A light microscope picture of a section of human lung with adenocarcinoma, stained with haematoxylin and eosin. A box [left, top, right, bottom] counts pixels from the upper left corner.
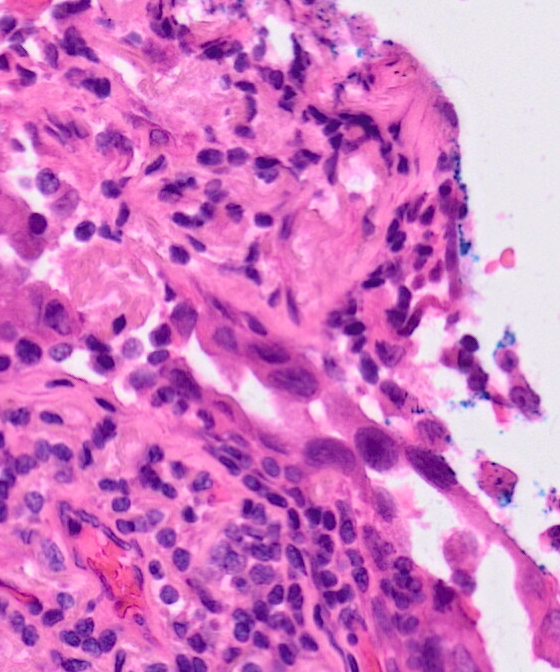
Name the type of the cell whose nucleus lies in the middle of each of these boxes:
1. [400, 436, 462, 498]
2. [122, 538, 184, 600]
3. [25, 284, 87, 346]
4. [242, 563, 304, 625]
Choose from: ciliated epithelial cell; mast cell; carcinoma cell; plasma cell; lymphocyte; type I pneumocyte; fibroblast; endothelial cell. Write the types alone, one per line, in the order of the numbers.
carcinoma cell
lymphocyte
carcinoma cell
lymphocyte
